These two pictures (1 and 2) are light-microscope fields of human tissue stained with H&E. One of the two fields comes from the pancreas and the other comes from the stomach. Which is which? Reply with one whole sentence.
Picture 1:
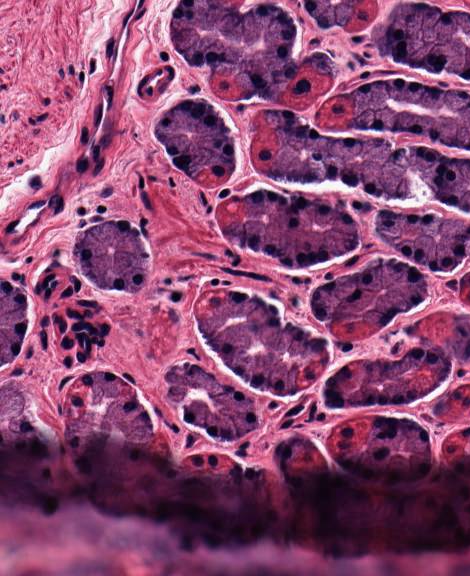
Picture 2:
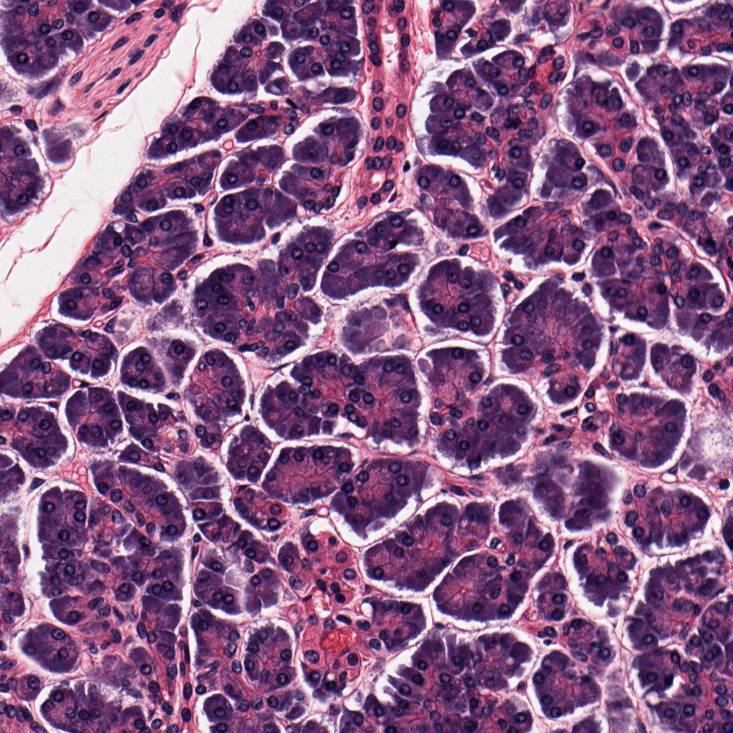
Picture 2 comes from the pancreas, while picture 1 comes from the stomach.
